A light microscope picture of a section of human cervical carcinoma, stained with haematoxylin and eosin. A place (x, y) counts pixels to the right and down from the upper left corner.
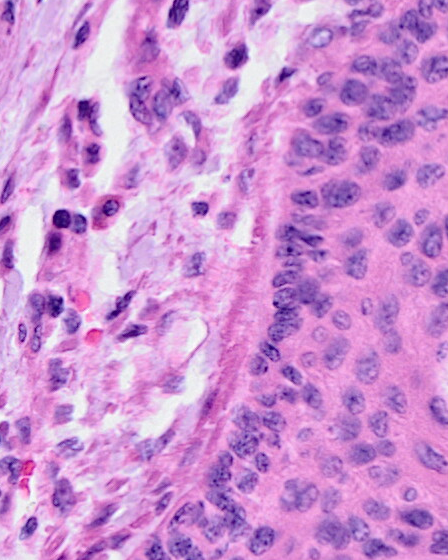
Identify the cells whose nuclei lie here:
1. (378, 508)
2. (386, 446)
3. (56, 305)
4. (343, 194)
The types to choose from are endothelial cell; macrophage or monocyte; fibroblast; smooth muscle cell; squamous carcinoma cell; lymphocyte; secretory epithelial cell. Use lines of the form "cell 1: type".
cell 1: squamous carcinoma cell
cell 2: squamous carcinoma cell
cell 3: lymphocyte
cell 4: squamous carcinoma cell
